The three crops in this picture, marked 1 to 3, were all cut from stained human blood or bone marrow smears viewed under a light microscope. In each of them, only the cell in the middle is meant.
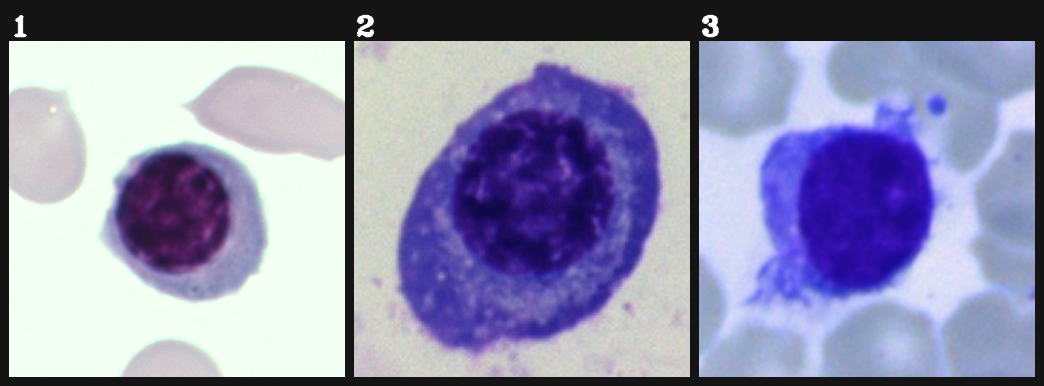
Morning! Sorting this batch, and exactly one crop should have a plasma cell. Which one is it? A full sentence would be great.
In the set of crops, crop 2 is the one that contains a plasma cell.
